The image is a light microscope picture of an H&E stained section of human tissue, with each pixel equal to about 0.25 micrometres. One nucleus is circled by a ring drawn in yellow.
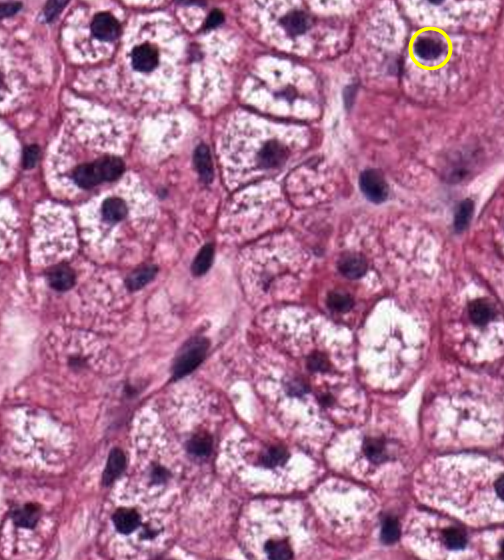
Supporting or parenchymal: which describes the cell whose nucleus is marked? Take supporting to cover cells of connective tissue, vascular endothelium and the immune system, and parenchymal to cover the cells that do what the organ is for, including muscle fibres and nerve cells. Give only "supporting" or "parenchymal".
parenchymal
